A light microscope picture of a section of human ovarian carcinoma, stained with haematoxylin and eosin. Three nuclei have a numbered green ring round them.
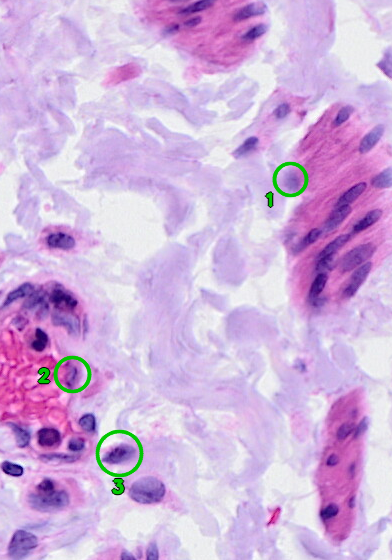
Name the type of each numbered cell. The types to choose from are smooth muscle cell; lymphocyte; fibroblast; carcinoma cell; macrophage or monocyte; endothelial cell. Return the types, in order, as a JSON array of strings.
["smooth muscle cell", "endothelial cell", "fibroblast"]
